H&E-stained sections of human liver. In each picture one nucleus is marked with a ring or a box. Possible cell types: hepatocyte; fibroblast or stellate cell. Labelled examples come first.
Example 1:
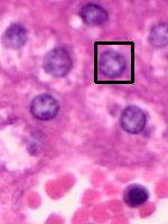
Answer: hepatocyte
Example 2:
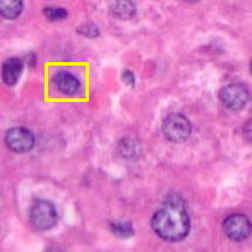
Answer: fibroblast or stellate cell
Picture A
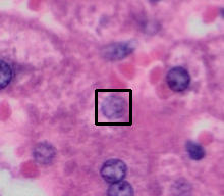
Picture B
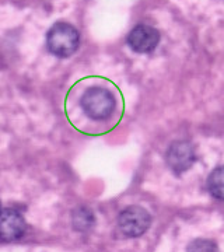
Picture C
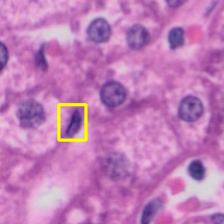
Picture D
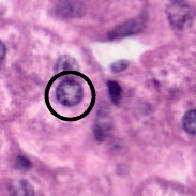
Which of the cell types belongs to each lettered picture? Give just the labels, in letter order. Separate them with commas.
hepatocyte, hepatocyte, fibroblast or stellate cell, hepatocyte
